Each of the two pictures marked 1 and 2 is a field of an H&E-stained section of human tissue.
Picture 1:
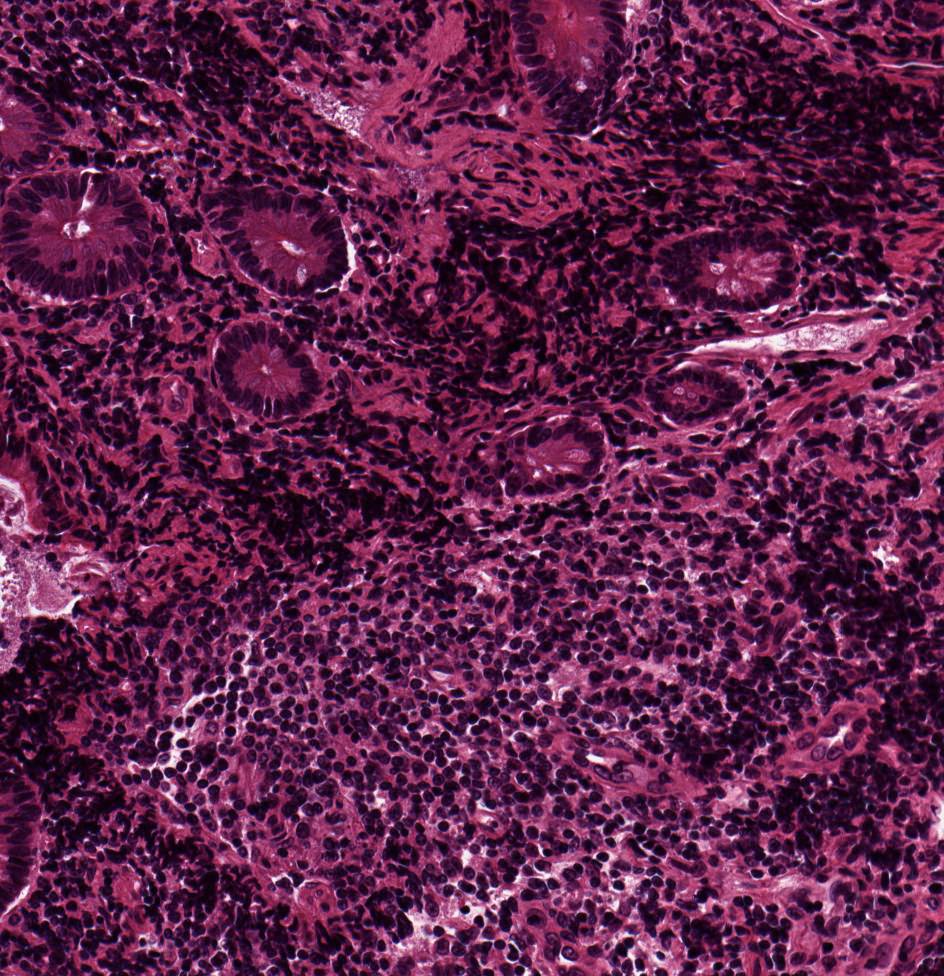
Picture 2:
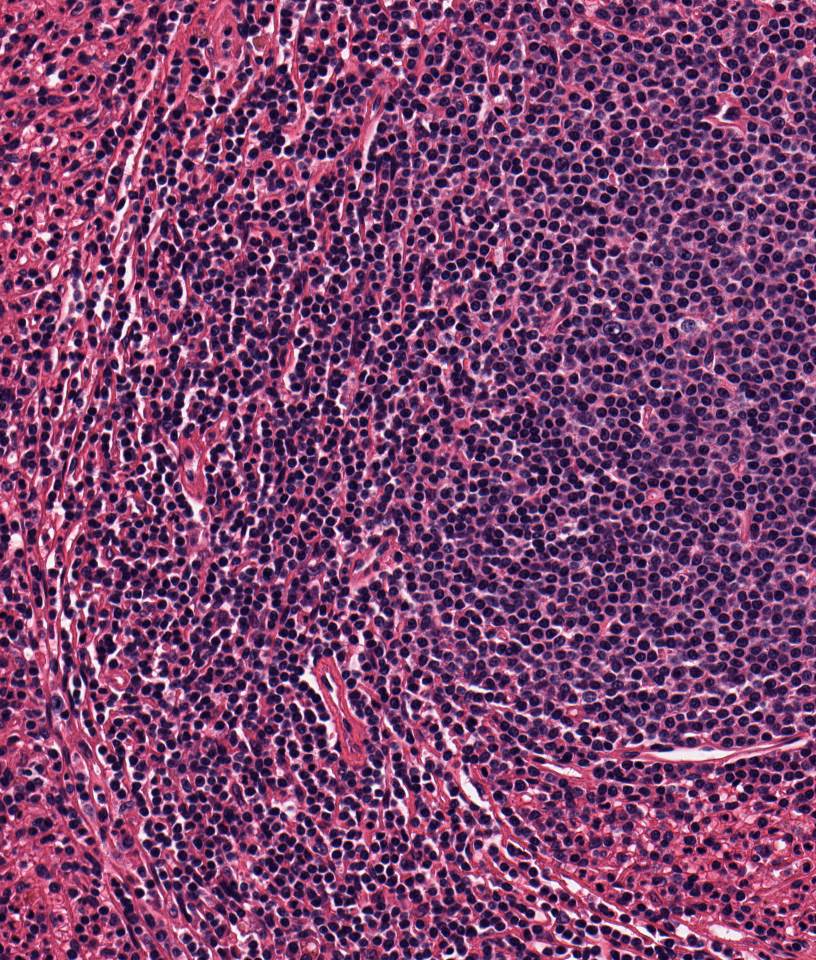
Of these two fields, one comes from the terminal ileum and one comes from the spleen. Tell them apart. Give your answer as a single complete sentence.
Picture 1 comes from the terminal ileum and picture 2 comes from the spleen.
